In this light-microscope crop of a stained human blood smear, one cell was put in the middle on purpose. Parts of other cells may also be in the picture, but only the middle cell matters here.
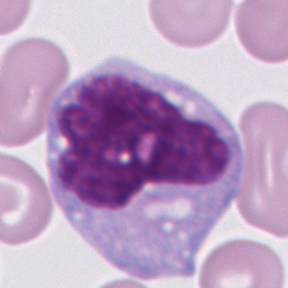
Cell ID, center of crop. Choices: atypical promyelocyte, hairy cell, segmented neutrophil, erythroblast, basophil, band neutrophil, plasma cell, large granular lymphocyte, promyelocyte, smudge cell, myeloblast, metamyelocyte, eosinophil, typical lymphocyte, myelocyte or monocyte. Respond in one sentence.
Centrally within this crop lies a monocyte.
